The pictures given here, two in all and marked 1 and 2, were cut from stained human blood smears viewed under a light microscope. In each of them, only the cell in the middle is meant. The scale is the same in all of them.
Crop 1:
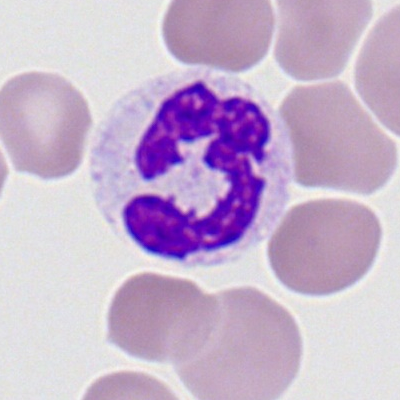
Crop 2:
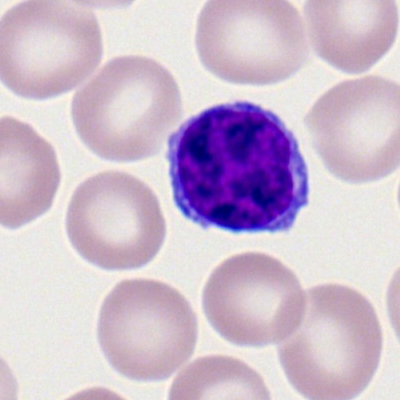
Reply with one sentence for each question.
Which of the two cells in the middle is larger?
It is the cell in crop 1, about 2 times as large in area as the cell in crop 2.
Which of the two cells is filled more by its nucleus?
In crop 2 the nucleus takes up the larger part of its cell.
